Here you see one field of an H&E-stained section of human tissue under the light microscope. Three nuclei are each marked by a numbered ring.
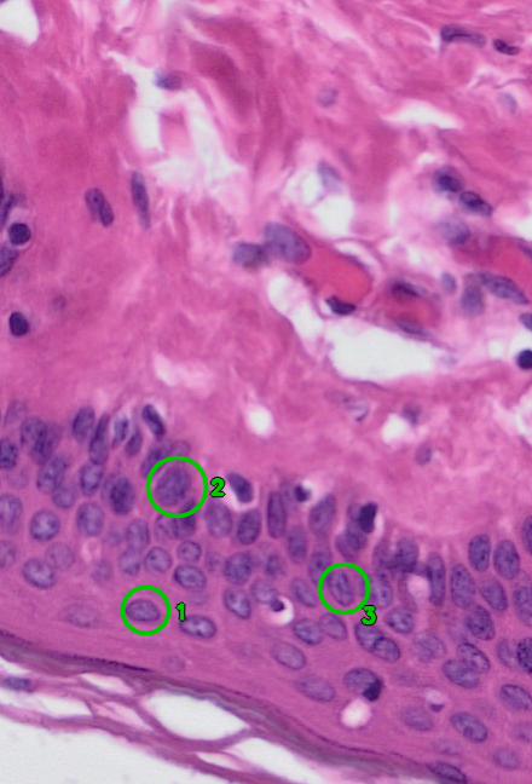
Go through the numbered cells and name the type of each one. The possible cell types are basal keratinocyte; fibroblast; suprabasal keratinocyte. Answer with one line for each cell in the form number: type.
1: suprabasal keratinocyte
2: basal keratinocyte
3: suprabasal keratinocyte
